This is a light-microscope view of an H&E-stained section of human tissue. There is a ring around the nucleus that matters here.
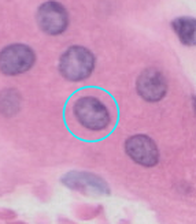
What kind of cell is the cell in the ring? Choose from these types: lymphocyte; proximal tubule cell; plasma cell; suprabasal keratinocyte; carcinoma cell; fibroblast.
proximal tubule cell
